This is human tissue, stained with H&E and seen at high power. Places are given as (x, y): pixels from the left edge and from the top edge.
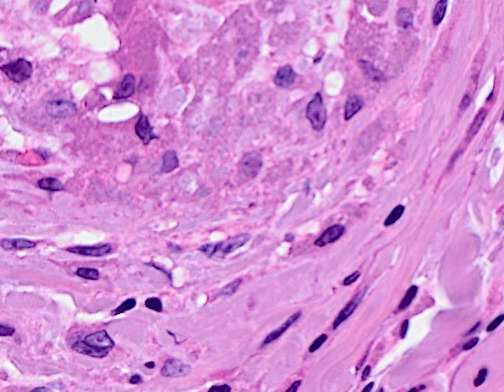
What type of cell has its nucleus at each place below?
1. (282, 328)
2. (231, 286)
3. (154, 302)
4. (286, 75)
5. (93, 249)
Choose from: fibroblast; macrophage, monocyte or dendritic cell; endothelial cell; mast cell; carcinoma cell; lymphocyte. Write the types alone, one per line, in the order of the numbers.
fibroblast
fibroblast
lymphocyte
macrophage, monocyte or dendritic cell
fibroblast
